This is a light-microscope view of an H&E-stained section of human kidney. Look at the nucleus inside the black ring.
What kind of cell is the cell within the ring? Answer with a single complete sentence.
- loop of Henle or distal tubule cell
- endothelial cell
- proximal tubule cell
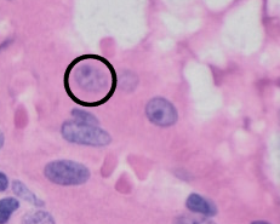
The cell meant here is a proximal tubule cell.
